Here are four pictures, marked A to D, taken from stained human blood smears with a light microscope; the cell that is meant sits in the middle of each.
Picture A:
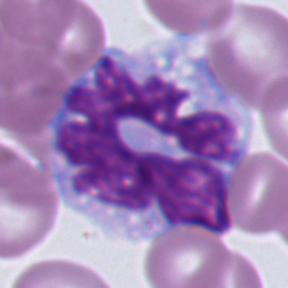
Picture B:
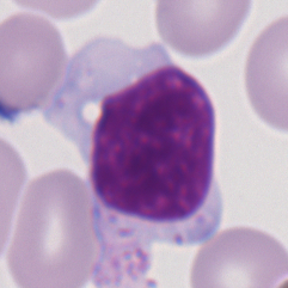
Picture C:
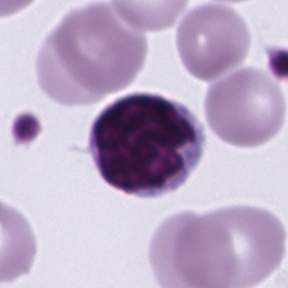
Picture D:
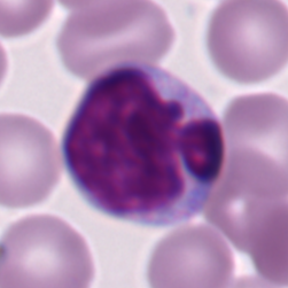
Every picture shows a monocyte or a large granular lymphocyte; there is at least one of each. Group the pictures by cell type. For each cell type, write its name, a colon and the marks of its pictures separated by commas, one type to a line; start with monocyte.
monocyte: A
large granular lymphocyte: B, C, D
